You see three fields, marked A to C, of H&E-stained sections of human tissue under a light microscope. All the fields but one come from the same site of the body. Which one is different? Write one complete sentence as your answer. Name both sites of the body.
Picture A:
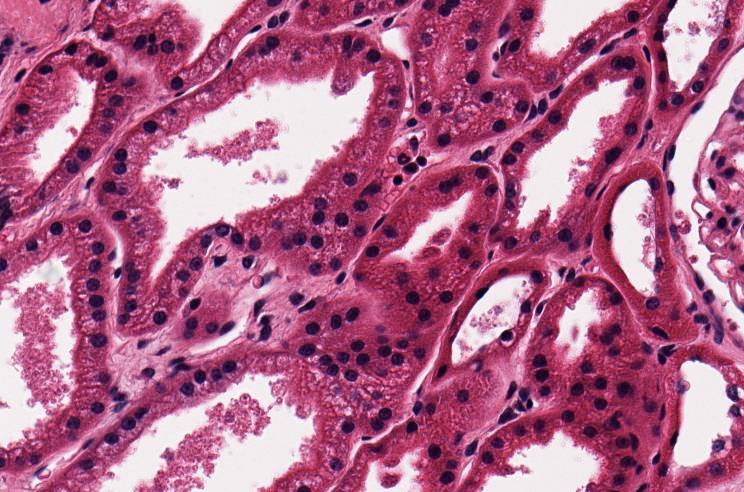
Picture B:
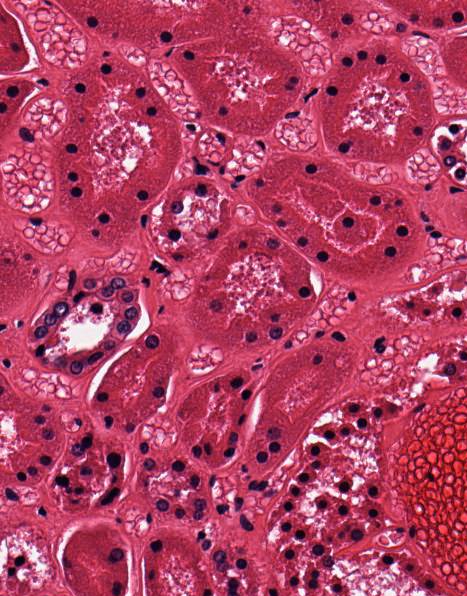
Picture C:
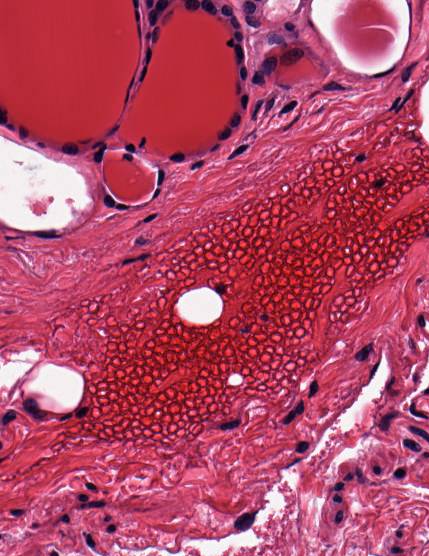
Unlike the rest, which come from the renal cortex, picture C comes from the thyroid.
